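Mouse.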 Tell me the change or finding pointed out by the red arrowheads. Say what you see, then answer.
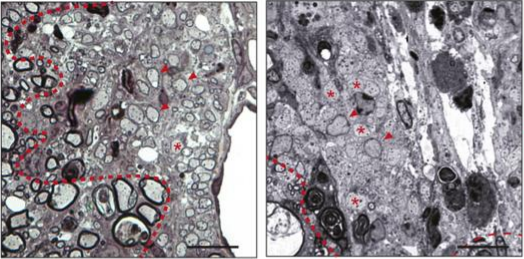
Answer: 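The arrowheads point at round axon profiles. These profiles are ringed by a thin dark sheath, thinner than the thick rings elsewhere. The answer: remyelinated axons.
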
